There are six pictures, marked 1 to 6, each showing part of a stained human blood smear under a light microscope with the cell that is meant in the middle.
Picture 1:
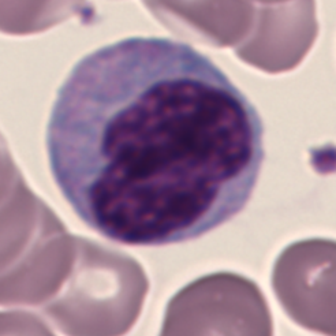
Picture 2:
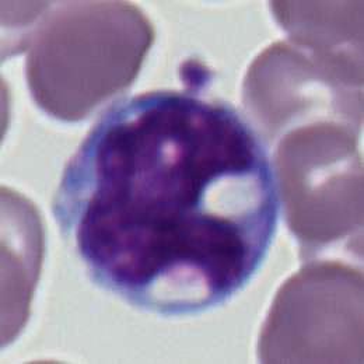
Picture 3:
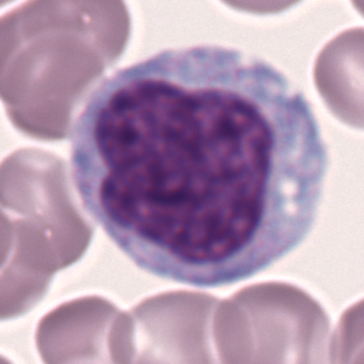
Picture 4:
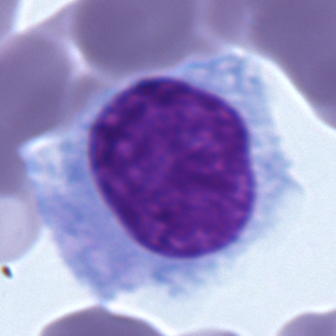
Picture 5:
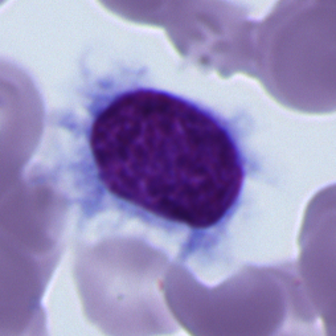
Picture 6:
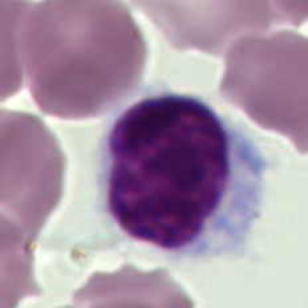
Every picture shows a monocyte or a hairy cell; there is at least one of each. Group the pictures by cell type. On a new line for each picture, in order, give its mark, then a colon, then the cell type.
1: monocyte
2: monocyte
3: monocyte
4: hairy cell
5: hairy cell
6: hairy cell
